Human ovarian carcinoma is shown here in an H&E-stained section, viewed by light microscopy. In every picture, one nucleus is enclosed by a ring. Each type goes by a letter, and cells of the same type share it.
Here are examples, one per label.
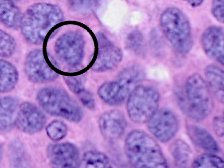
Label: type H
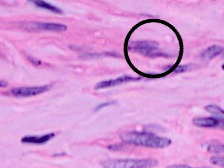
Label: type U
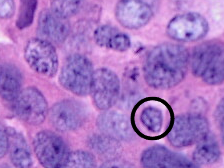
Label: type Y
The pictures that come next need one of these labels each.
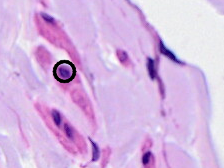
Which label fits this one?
type U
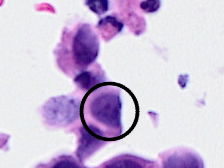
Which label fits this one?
type H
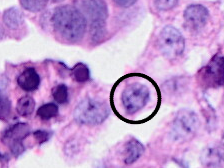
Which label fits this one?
type Y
